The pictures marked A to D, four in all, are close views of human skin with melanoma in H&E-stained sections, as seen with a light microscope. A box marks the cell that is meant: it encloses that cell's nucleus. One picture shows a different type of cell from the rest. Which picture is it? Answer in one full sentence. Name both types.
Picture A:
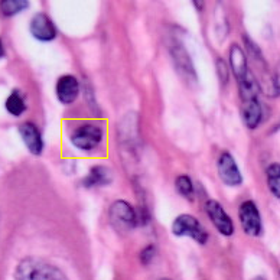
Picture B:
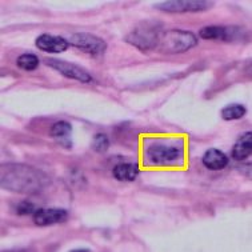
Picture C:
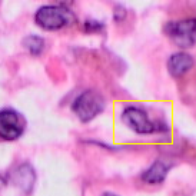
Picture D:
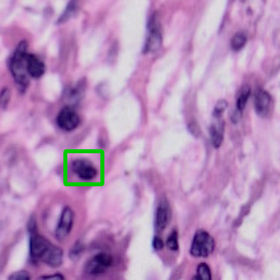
The others show plasma cells, but picture C shows a “macrophage or monocyte”.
